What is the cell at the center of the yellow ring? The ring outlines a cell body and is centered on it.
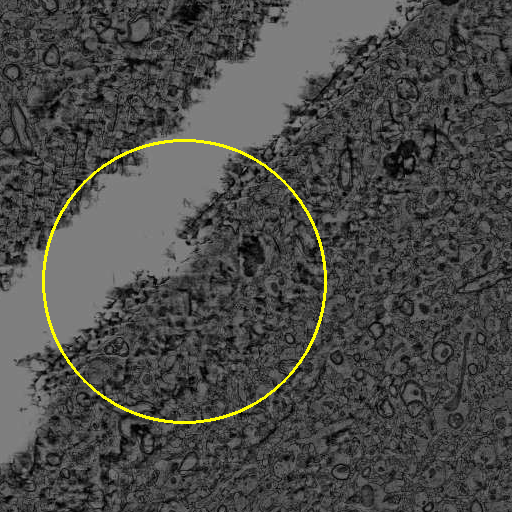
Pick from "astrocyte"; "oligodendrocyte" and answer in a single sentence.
The yellow ring is centered on an oligodendrocyte.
